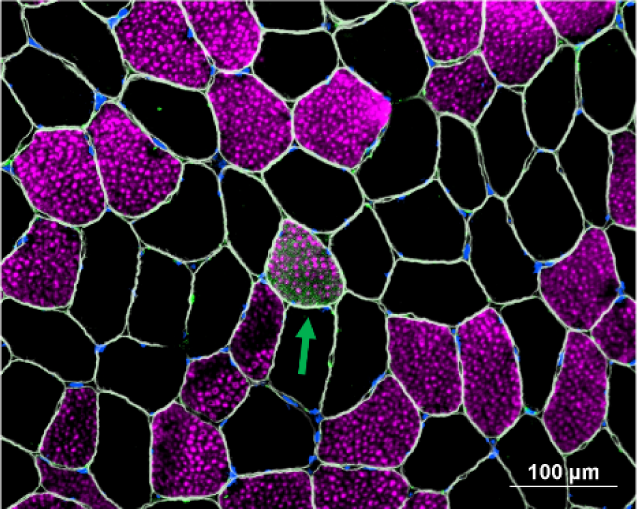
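Cross-section of skeletal muscle with closely packed polygonal myofibers, each rimmed by a thin grey-white border and with small blue nuclei at the periphery. Roughly half of the fibers are magenta with a speckled, dotted texture; the rest are black. Near the centre, a rounded triangular fiber marked by a green arrow shows a green rim and a green haze over a magenta speckled interior. Most fibers are of similar size, with a few smaller ones scattered between them.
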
